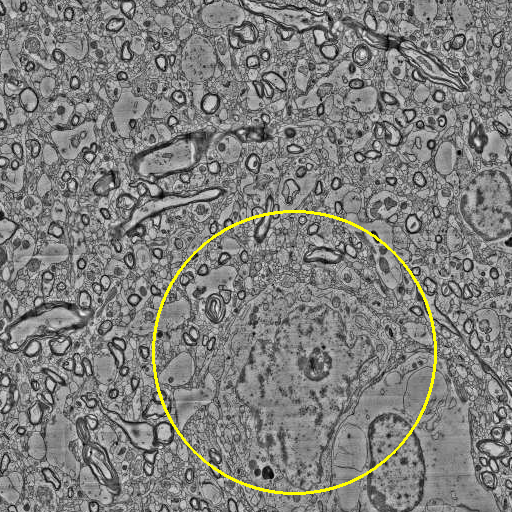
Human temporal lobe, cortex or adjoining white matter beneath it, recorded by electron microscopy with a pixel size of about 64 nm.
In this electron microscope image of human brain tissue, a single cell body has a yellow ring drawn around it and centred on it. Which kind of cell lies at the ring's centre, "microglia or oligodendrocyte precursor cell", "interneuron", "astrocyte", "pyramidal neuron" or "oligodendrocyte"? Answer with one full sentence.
It is an interneuron whose cell body lies at the centre of the yellow ring here.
